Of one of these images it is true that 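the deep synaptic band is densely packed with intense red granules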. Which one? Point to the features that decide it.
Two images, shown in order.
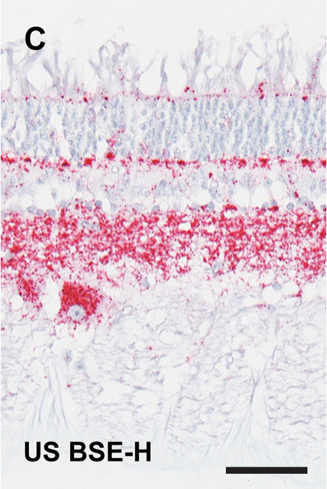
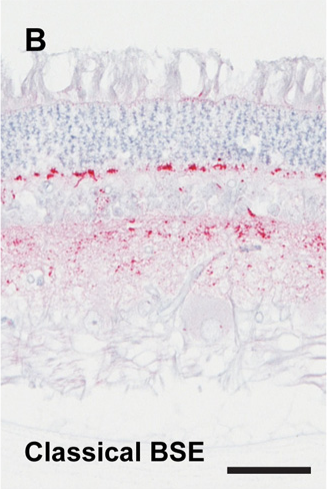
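The first image. First image: the deep synaptic band is a thick, solid red band of coarse granules.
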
